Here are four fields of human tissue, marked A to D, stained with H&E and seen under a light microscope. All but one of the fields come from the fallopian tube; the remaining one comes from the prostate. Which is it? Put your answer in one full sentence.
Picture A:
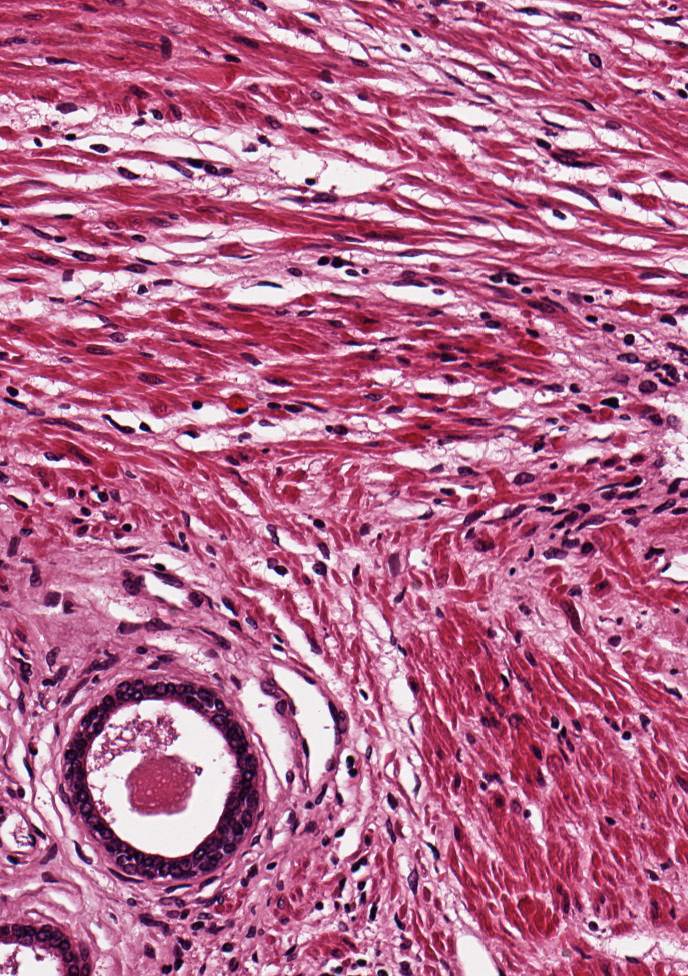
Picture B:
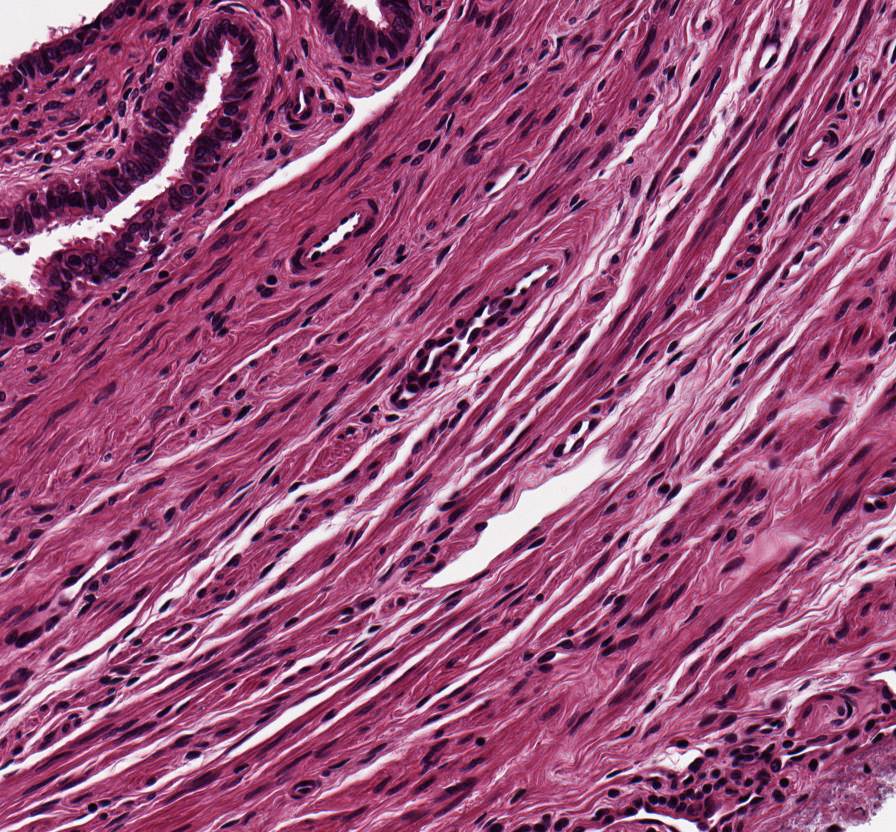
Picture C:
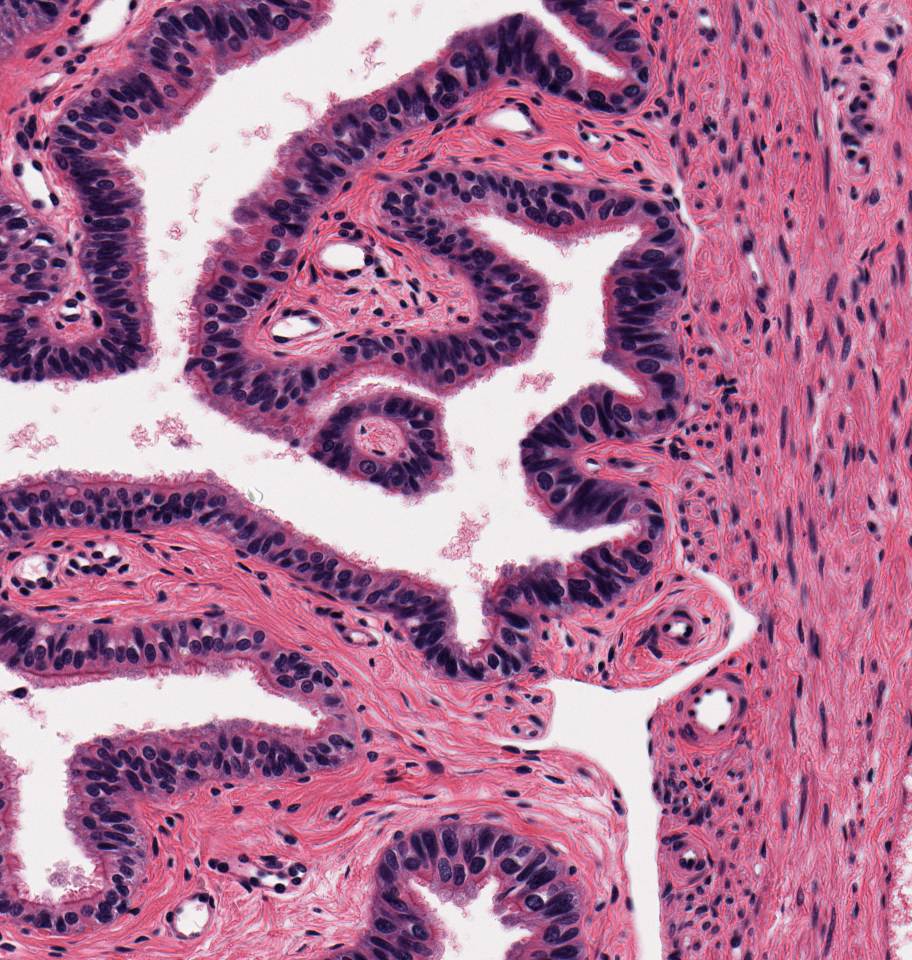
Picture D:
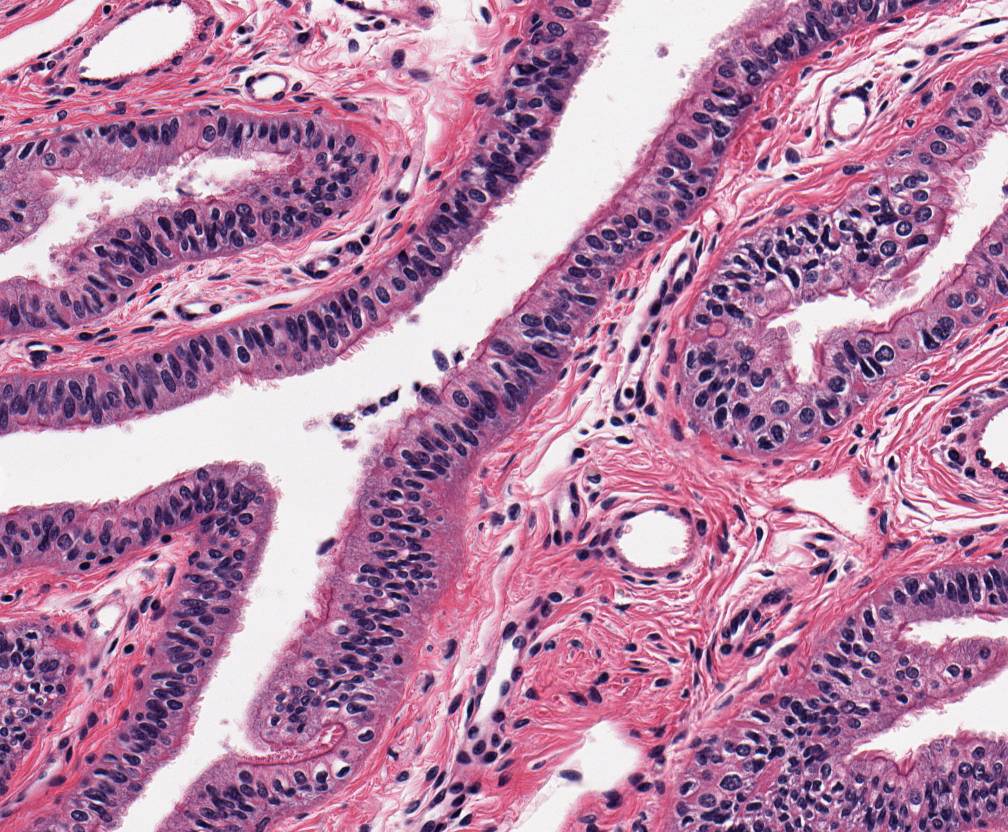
It is picture A that comes from the prostate.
